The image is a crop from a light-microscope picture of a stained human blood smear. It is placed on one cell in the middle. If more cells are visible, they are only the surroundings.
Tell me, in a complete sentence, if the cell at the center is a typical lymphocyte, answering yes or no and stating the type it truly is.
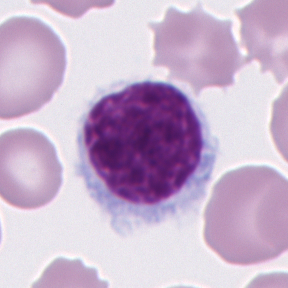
No, it is a hairy cell, not a typical lymphocyte, that lies at the centre of the crop.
